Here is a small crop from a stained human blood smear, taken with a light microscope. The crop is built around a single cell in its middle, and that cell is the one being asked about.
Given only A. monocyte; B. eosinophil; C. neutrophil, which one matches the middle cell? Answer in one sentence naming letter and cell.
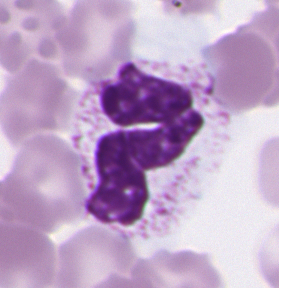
Option C gets it right: the cell in the middle is a neutrophil.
